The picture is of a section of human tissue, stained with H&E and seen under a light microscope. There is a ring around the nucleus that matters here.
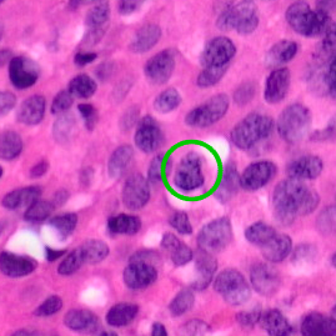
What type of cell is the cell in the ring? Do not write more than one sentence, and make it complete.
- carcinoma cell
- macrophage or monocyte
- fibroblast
Considered by cell type, the cell in the ring is a macrophage or monocyte.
